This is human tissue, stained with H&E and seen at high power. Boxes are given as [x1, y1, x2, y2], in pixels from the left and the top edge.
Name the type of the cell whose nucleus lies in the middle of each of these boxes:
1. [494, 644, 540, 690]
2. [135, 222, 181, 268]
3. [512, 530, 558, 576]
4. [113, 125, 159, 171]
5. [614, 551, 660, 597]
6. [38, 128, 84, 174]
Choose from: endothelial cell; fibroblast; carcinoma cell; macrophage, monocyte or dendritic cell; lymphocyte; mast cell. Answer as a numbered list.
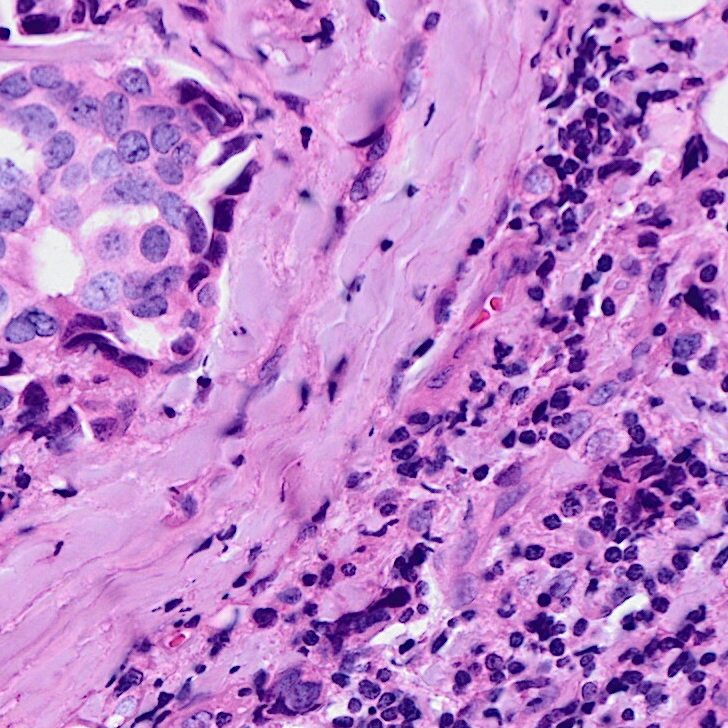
1. lymphocyte
2. carcinoma cell
3. lymphocyte
4. carcinoma cell
5. lymphocyte
6. carcinoma cell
